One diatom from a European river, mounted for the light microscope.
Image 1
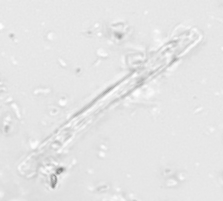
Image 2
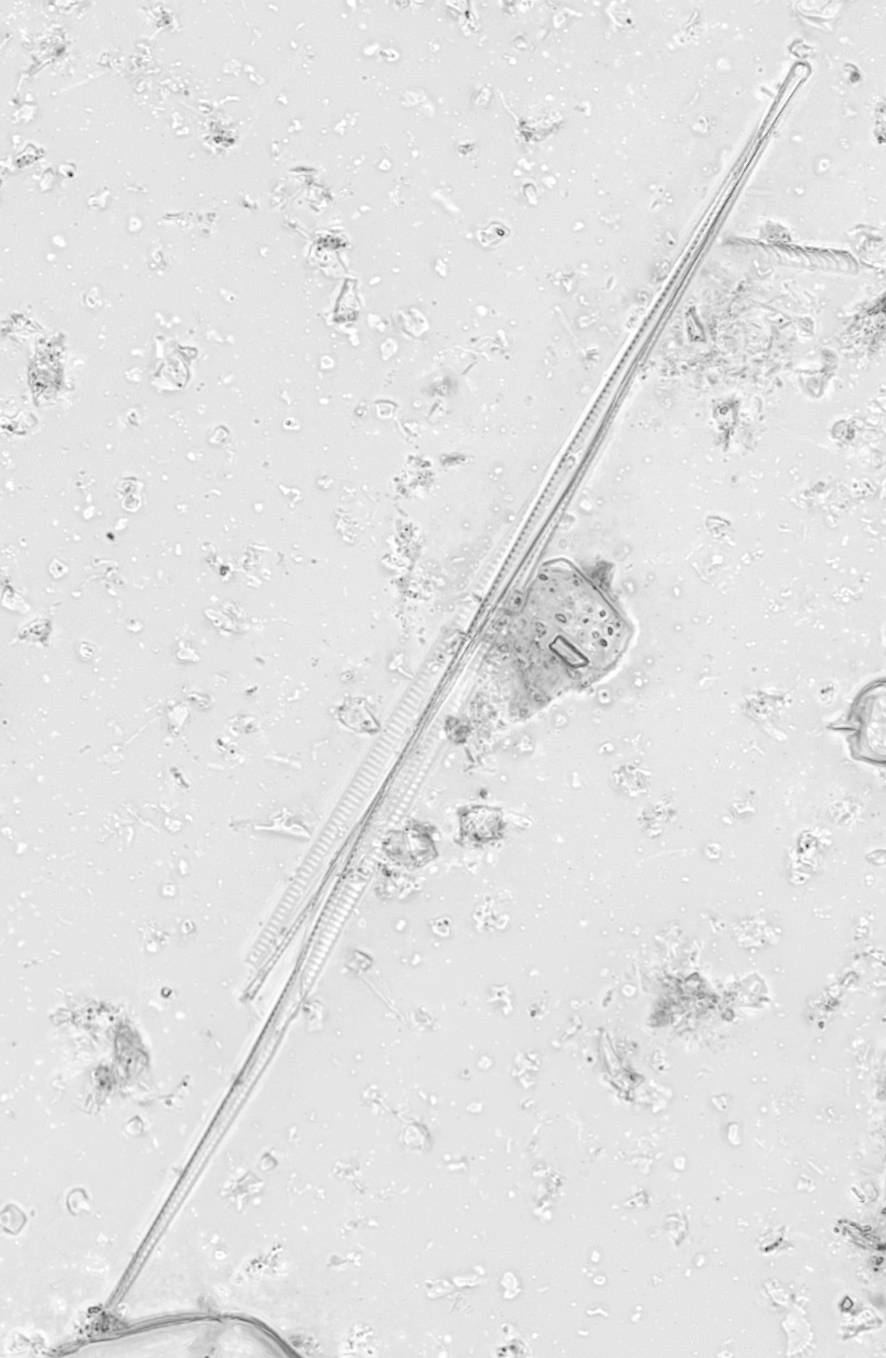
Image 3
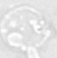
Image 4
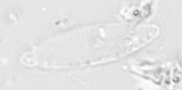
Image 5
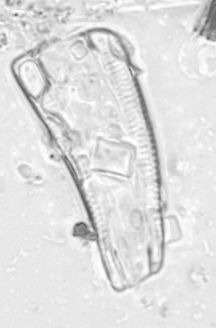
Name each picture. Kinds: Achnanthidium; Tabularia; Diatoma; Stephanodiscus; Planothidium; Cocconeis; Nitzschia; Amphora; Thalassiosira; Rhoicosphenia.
(1) Nitzschia
(2) Tabularia
(3) Thalassiosira
(4) Nitzschia
(5) Rhoicosphenia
